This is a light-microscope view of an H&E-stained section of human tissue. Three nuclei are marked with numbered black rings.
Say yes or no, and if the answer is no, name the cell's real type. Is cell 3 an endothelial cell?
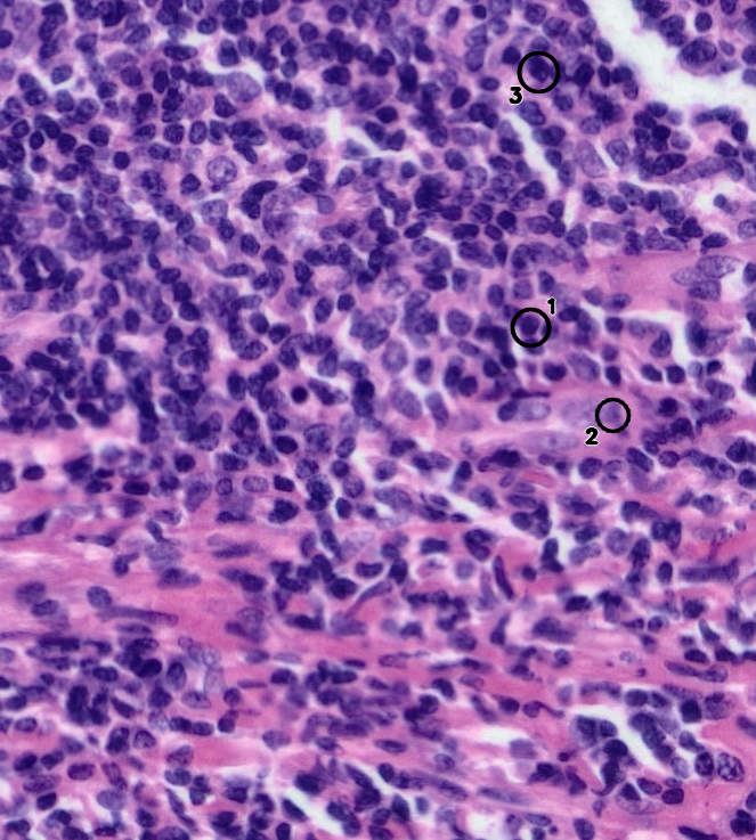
No, it is a small lymphocyte.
